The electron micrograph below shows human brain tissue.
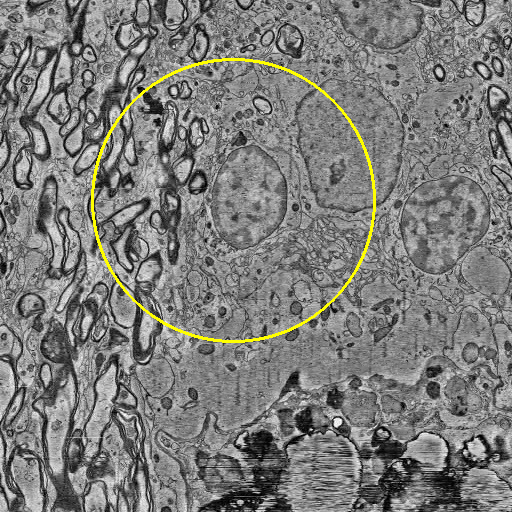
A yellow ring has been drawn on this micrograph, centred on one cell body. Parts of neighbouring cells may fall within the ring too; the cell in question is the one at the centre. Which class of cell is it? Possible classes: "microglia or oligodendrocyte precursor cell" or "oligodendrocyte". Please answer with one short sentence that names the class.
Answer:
In the centre of the ring sits a microglial cell or oligodendrocyte precursor cell.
